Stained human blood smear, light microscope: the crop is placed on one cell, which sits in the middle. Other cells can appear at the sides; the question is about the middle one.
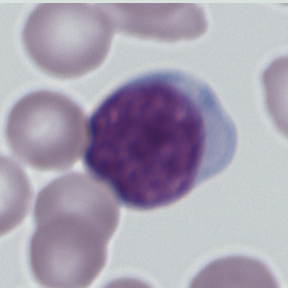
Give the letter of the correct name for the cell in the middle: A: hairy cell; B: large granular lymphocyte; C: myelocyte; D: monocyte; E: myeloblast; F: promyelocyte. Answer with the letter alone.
E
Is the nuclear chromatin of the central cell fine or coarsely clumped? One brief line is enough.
The chromatin within its nucleus forms coarse clumps.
